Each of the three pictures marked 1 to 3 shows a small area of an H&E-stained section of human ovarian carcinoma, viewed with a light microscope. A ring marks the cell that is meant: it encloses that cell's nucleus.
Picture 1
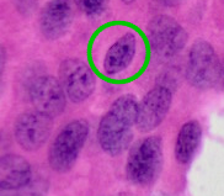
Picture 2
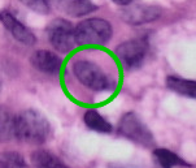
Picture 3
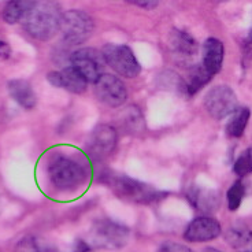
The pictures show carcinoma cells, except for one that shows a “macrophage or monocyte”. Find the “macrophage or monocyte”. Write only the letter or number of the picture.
1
